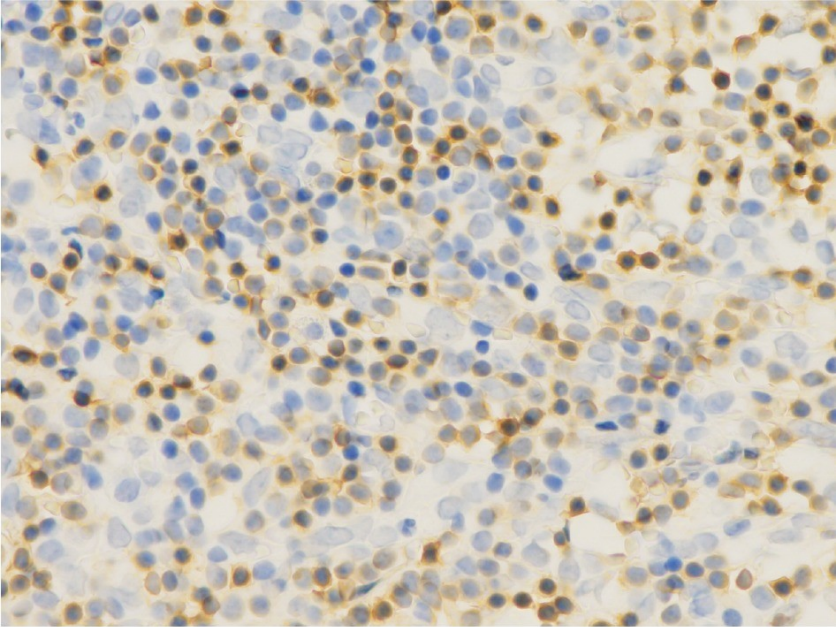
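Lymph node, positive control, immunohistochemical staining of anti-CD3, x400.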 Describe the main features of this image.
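This is densely cellular lymphoid tissue packed with small round cells. Many of them have a dark, round nucleus with only a thin rim of cytoplasm, and this rim is outlined in brown. Between them lie somewhat larger cells with paler, oval blue nuclei and no brown rim.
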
